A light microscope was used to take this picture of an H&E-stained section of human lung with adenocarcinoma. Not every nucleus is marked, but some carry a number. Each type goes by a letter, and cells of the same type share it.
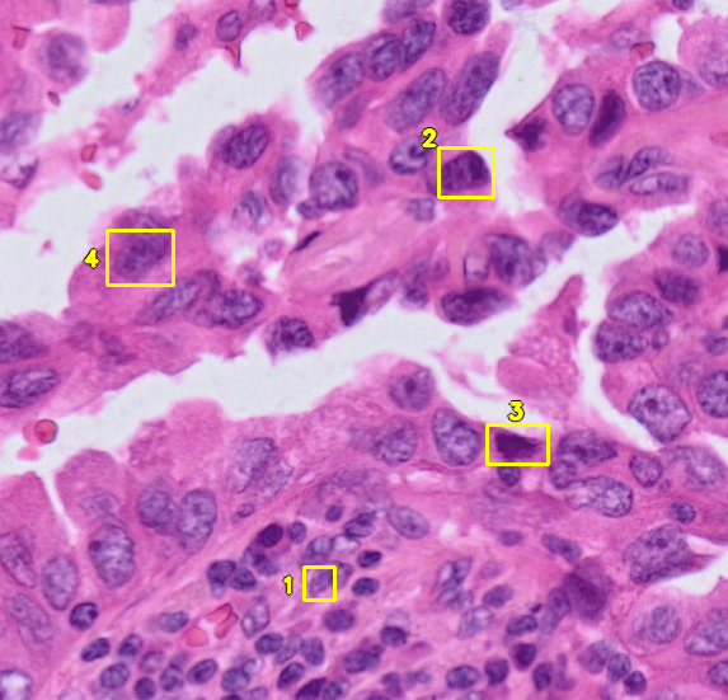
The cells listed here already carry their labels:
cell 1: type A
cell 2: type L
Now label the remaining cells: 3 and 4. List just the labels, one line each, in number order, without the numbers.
type L
type L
